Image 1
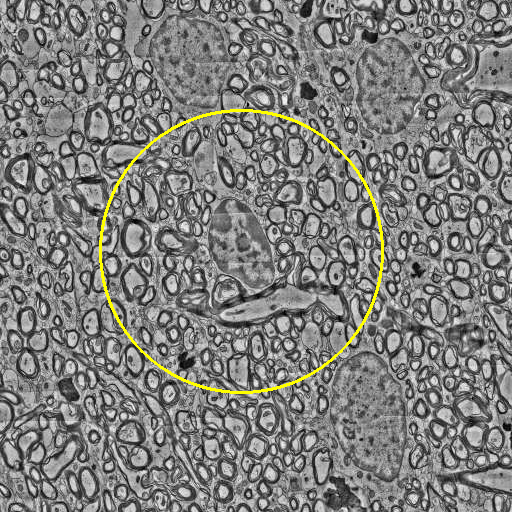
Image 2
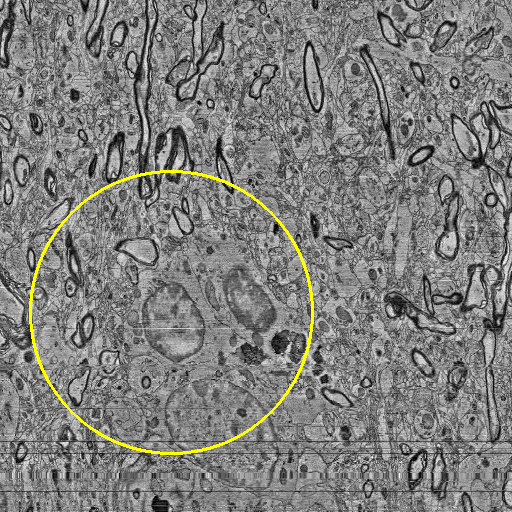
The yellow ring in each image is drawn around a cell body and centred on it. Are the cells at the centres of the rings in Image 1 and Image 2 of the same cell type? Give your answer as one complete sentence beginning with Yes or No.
No, the two cells are of two separate types.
